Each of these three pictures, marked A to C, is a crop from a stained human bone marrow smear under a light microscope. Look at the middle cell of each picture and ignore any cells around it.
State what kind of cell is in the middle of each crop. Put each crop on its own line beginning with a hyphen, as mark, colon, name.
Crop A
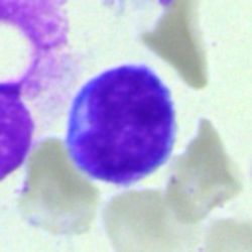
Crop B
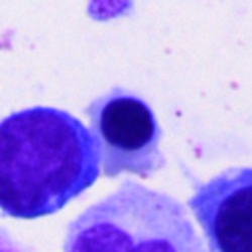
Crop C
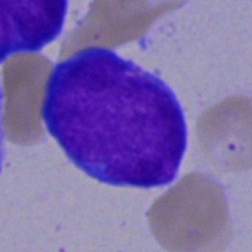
- A: blast
- B: erythroblast
- C: blast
